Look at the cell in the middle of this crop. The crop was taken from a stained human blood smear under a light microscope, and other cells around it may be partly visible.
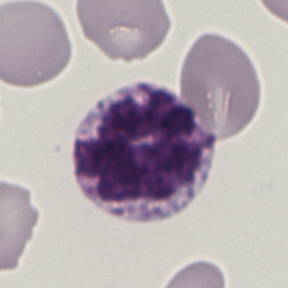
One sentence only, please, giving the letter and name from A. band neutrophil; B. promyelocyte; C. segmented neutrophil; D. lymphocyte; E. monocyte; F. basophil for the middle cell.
Option F correctly names the cell in the middle as a basophil.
